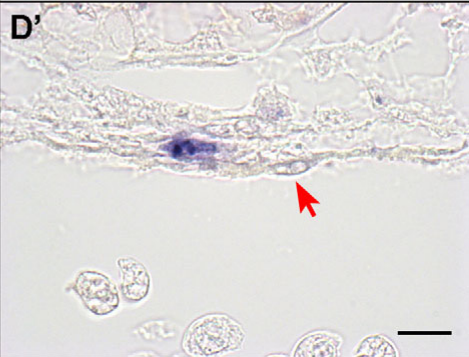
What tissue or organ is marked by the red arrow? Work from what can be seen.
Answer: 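Endothelium. The arrow points at a thin, flattened cell lining the edge of a lumen. Rounded blood cells lie in the lumen just below that lining.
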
